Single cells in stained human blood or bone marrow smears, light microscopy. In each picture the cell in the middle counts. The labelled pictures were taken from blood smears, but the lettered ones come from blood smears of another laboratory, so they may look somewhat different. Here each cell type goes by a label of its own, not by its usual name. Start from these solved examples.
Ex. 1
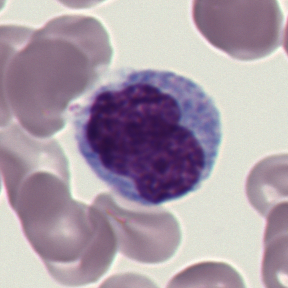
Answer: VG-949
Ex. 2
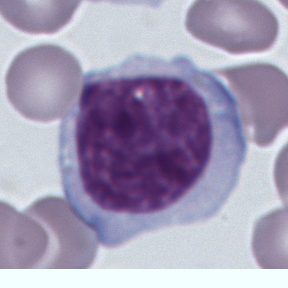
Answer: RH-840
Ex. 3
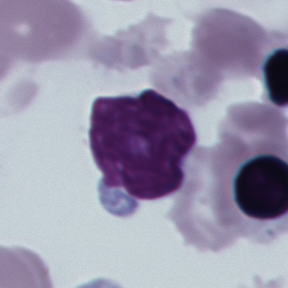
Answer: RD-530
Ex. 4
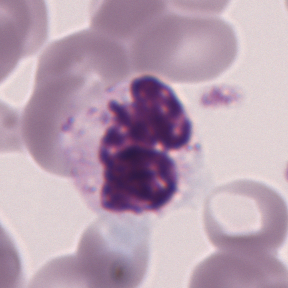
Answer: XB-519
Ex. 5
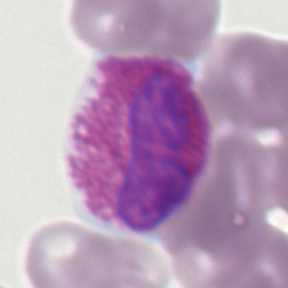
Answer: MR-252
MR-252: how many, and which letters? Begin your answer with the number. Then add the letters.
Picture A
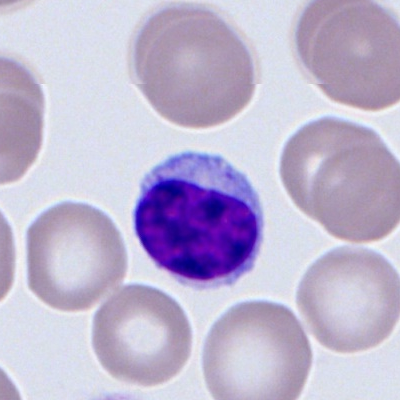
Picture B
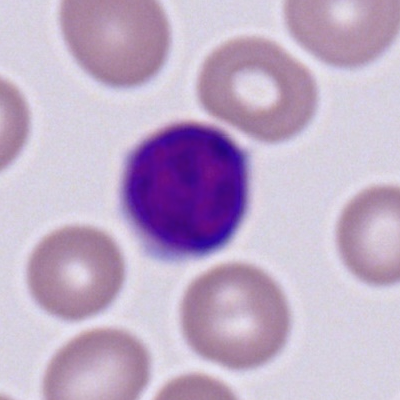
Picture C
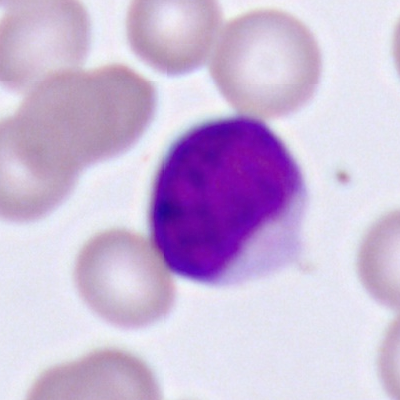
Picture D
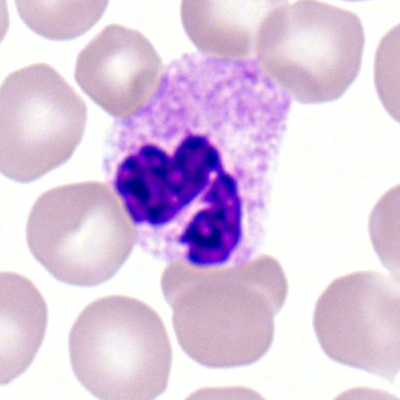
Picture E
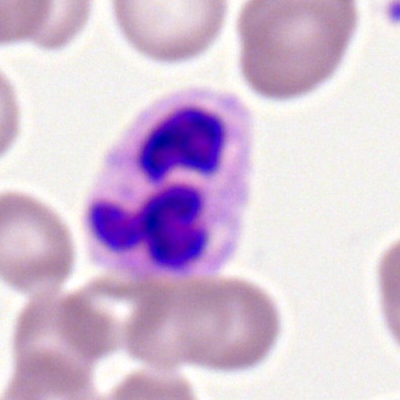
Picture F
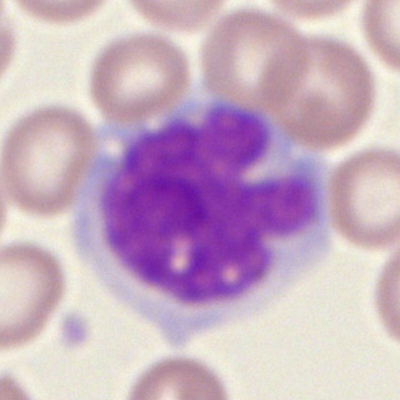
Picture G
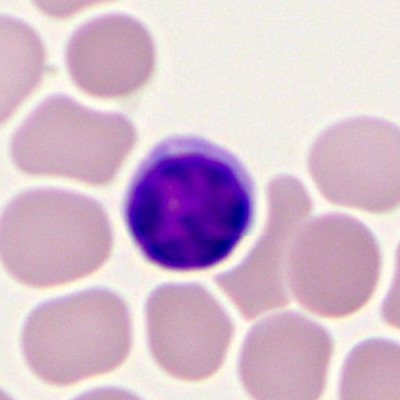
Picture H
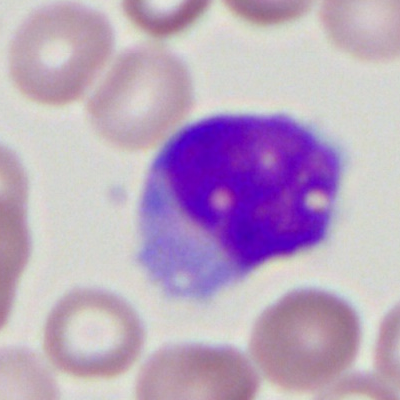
0, none of them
